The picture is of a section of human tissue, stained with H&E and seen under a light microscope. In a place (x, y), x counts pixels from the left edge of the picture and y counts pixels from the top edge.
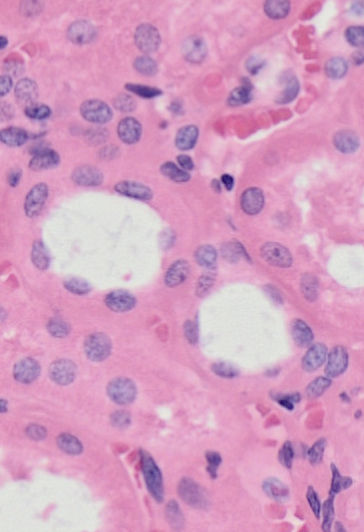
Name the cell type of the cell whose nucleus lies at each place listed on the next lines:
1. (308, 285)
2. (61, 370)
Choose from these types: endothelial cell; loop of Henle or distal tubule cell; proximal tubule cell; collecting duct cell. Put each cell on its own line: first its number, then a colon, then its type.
1: proximal tubule cell
2: loop of Henle or distal tubule cell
